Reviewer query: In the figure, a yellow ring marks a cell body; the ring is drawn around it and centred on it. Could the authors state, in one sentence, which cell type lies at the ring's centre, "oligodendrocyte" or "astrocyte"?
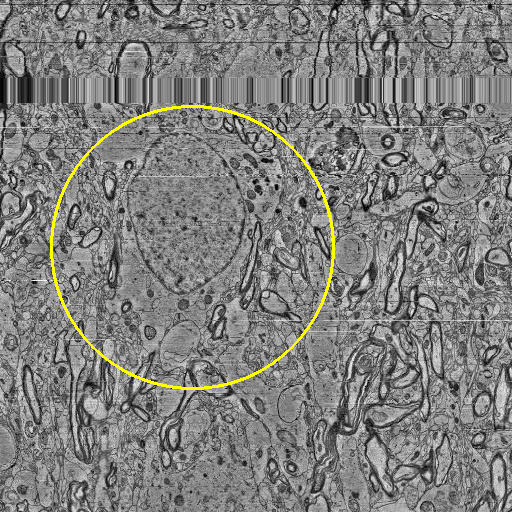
The ring is centred on an astrocyte.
